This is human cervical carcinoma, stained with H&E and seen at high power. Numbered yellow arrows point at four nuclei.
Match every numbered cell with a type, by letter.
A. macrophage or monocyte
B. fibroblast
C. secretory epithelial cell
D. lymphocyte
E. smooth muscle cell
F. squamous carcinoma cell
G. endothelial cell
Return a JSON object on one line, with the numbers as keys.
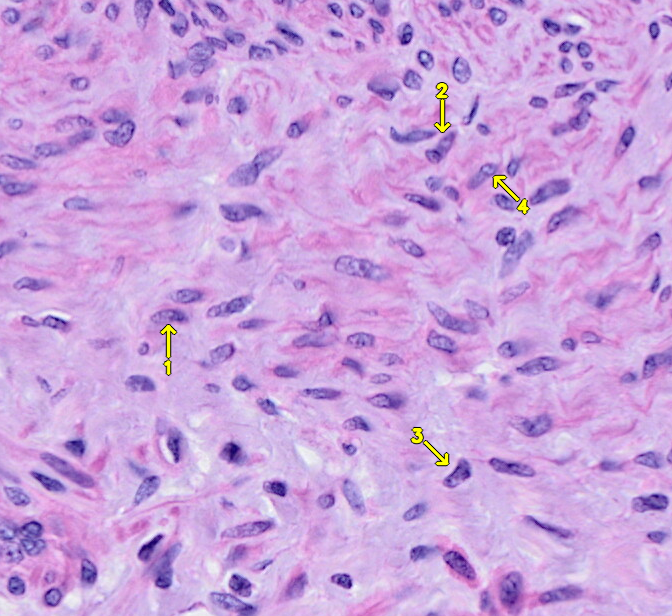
{"1": "E", "2": "E", "3": "B", "4": "E"}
